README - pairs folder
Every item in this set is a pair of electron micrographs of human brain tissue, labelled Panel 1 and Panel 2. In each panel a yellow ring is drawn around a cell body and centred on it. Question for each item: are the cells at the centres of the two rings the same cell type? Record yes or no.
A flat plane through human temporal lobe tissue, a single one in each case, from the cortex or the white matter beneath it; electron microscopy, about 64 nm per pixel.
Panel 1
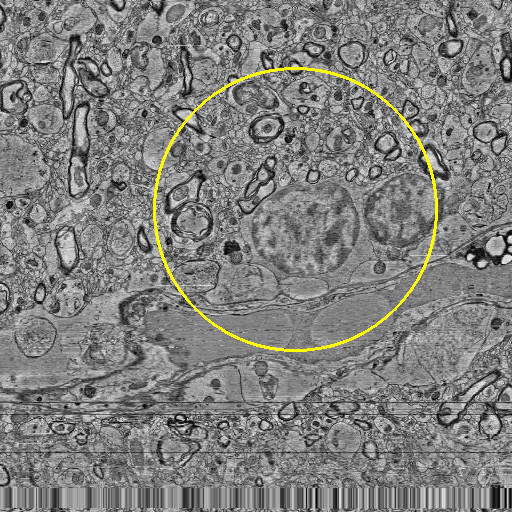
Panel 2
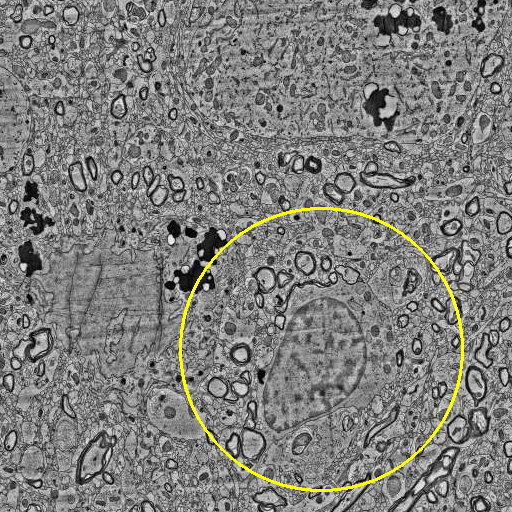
yes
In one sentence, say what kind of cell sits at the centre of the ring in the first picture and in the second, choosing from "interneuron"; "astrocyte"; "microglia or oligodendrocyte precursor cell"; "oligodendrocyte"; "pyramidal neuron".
Each of the two rings is centred on an oligodendrocyte.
